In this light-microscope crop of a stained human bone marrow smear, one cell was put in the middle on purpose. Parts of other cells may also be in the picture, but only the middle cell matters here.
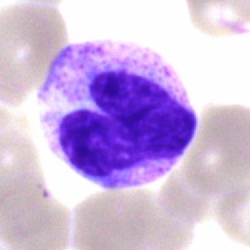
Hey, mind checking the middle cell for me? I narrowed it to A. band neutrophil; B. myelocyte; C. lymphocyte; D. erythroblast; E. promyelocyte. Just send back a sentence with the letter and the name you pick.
Option A is correct, naming the cell in the middle as a band neutrophil.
